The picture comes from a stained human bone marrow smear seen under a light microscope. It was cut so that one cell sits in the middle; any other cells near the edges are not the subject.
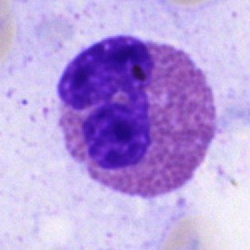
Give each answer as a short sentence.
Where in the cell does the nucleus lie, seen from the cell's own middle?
The nucleus lies toward the upper left of the cell.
